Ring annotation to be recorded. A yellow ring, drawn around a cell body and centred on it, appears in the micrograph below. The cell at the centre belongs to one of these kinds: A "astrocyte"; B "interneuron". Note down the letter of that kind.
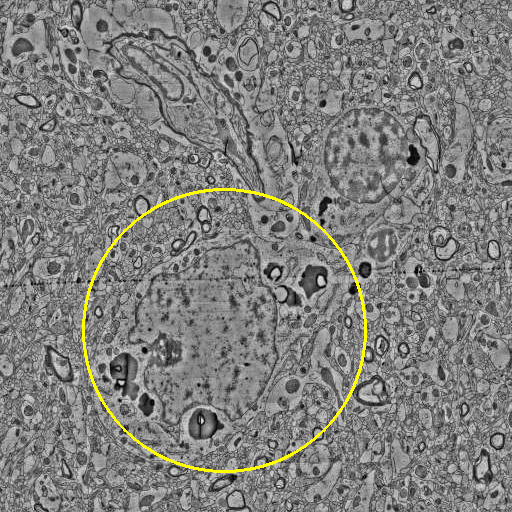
B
